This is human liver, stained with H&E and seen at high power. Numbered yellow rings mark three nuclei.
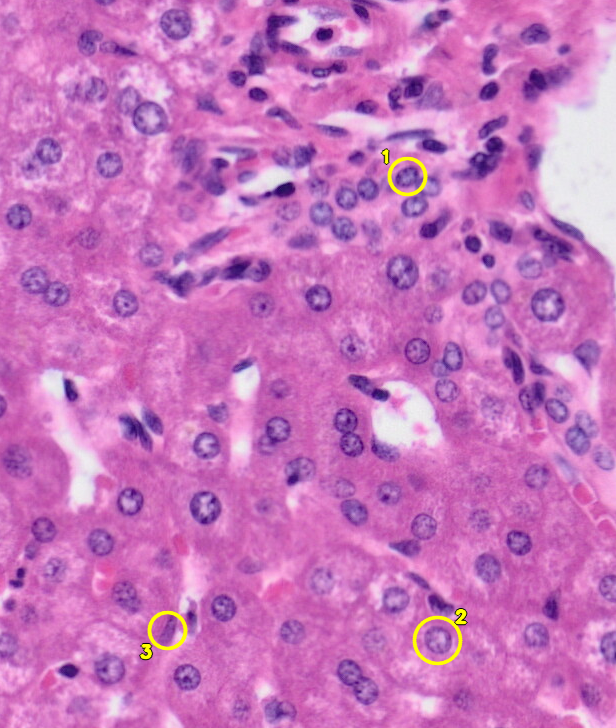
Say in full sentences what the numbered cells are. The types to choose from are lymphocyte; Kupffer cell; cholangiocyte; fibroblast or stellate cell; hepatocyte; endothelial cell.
Cell 1 is a cholangiocyte, cell 2 is a hepatocyte and cell 3 is a Kupffer cell.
